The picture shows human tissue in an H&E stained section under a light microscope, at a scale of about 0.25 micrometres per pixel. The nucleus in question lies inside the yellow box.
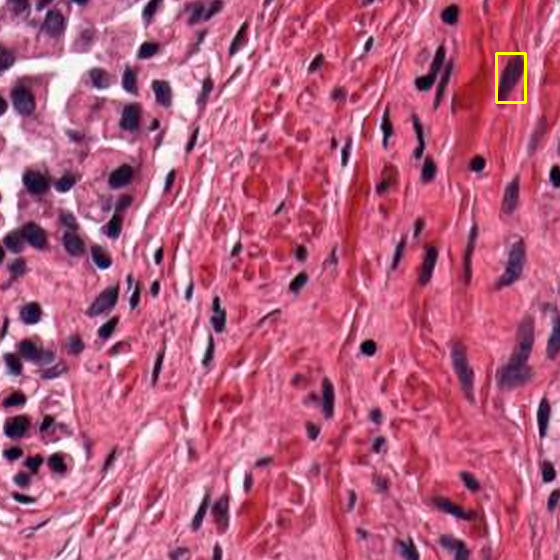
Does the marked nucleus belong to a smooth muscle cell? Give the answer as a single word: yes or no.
yes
